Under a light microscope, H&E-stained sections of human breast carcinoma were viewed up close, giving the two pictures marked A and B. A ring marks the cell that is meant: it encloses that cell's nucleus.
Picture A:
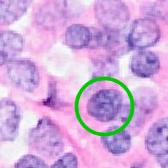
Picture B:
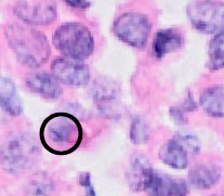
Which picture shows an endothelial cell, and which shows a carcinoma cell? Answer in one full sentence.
Picture A is of a carcinoma cell, and picture B is of an endothelial cell.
